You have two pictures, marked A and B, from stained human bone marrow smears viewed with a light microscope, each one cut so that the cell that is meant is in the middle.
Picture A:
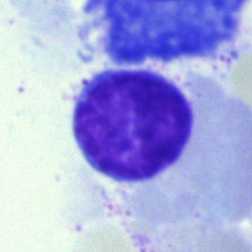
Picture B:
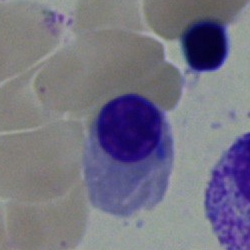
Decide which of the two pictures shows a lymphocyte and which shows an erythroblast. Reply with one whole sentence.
Picture A shows a lymphocyte and picture B shows an erythroblast.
